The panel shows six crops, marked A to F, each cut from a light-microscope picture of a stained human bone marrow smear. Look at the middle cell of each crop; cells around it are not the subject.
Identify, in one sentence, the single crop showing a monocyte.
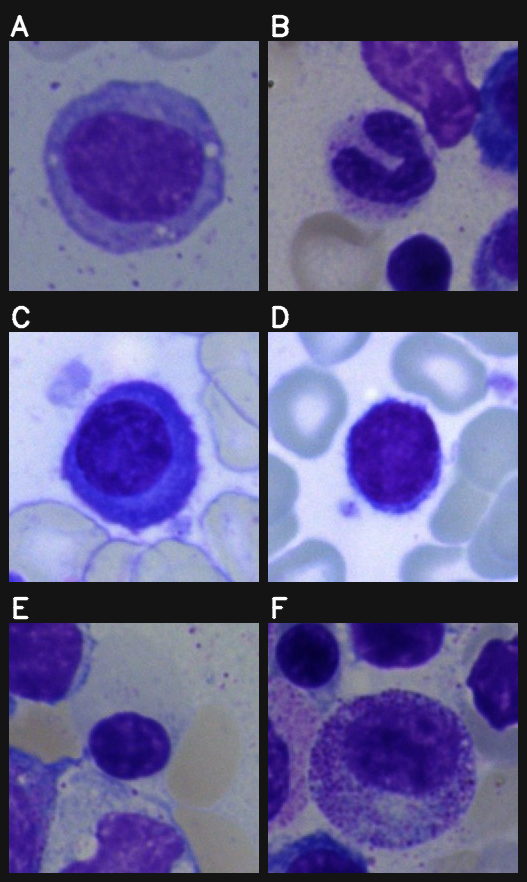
The one crop that shows a monocyte is crop A.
